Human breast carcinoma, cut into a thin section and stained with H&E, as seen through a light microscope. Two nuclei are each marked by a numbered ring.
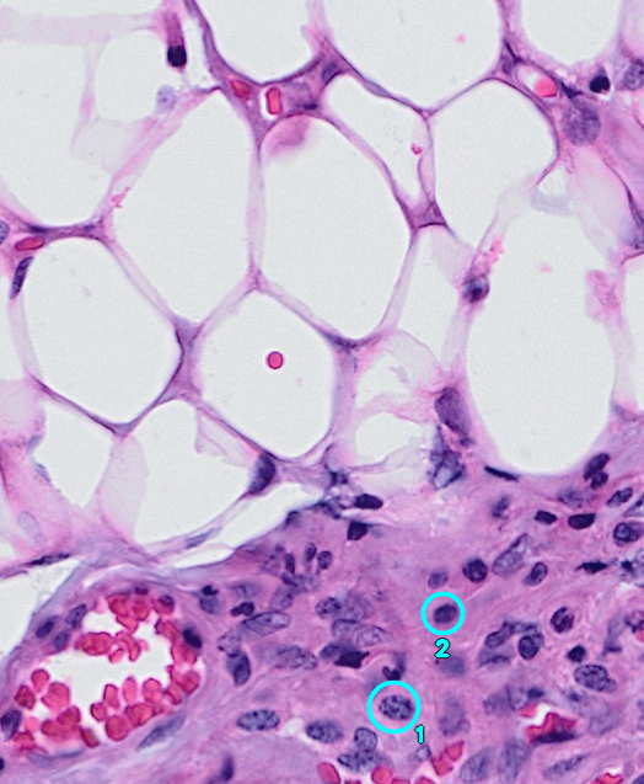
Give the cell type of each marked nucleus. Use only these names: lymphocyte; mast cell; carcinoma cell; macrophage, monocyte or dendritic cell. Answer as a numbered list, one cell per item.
1. mast cell
2. lymphocyte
